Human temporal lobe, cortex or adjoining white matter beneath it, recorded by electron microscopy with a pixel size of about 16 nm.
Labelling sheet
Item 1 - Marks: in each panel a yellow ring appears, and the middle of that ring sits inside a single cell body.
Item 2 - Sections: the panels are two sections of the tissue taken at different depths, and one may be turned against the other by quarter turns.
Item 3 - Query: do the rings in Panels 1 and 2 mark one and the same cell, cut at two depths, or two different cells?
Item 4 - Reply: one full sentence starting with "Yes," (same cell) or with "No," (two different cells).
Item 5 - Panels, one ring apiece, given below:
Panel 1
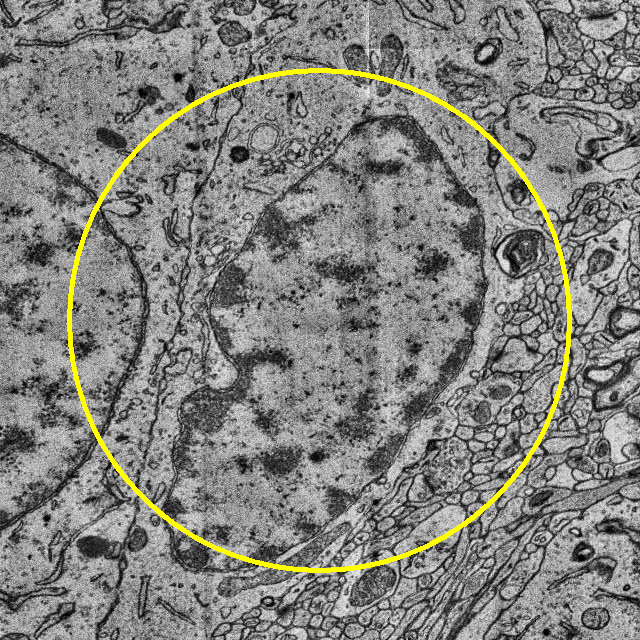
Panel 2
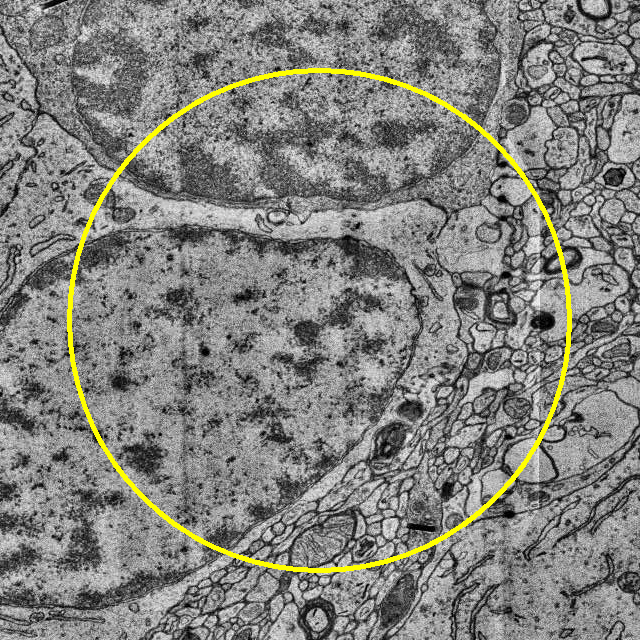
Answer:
Yes, each ring singles out the same cell.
